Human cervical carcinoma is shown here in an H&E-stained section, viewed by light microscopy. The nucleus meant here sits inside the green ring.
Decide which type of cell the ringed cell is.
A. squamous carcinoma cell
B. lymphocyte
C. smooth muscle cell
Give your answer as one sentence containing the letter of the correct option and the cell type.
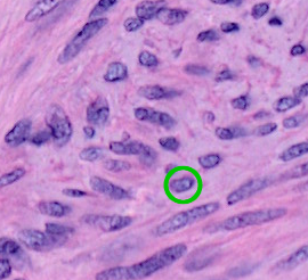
Option C, which has the ringed cell as a smooth muscle cell, is the correct choice.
